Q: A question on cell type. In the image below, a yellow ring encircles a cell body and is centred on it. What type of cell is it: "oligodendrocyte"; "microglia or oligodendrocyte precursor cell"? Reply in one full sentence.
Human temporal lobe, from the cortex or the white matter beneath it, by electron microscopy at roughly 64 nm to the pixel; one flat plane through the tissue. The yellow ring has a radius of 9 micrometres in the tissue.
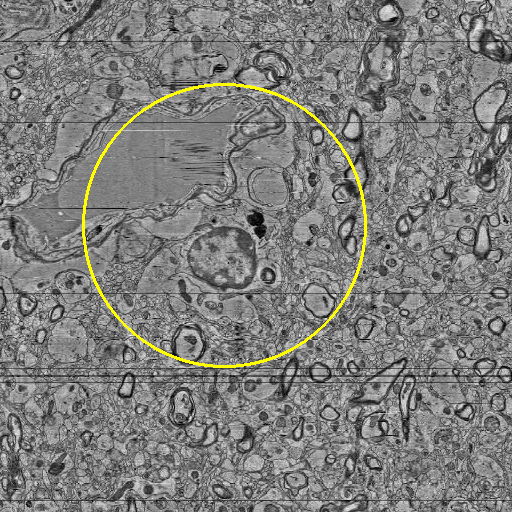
It is a microglial cell or oligodendrocyte precursor cell whose cell body sits at the centre of the yellow ring in the image.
